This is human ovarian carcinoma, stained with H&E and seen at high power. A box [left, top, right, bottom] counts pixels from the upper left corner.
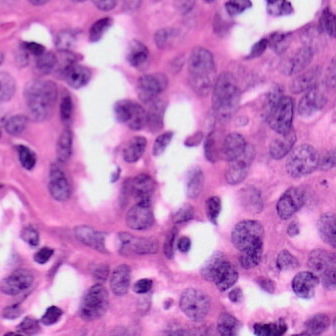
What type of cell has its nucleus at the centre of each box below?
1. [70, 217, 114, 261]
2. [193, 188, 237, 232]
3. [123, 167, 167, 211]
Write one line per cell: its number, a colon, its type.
1: endothelial cell
2: carcinoma cell
3: carcinoma cell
